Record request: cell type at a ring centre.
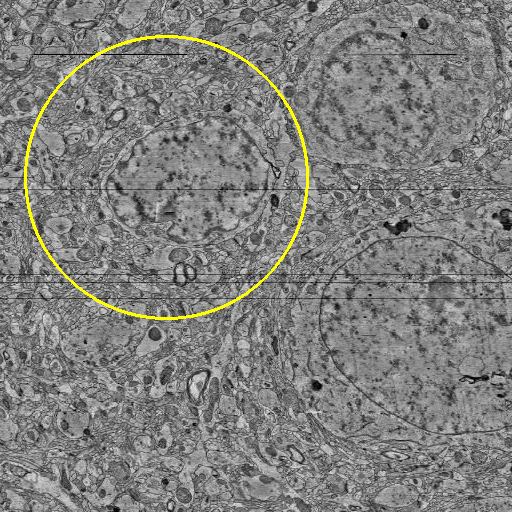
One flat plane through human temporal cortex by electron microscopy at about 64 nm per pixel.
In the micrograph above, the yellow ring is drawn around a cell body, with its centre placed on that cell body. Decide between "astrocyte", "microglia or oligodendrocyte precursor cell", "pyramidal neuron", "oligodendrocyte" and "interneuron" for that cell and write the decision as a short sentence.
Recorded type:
The cell centred in the yellow ring is an interneuron.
